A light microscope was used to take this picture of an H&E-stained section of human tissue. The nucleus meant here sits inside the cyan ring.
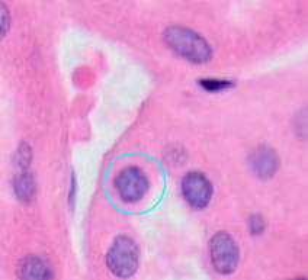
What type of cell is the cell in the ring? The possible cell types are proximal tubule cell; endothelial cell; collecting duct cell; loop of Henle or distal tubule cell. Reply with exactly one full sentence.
Recorded by type, the cell in the ring is a loop of Henle or distal tubule cell.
